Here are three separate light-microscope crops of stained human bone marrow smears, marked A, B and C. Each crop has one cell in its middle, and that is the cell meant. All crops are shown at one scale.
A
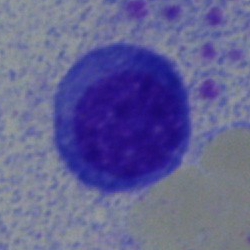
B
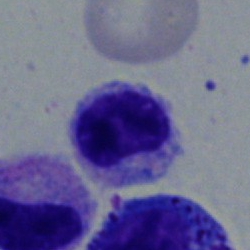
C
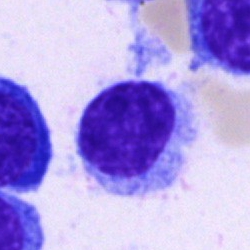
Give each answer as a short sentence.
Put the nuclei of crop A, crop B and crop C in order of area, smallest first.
The order is B, C, A, beginning with the smallest.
